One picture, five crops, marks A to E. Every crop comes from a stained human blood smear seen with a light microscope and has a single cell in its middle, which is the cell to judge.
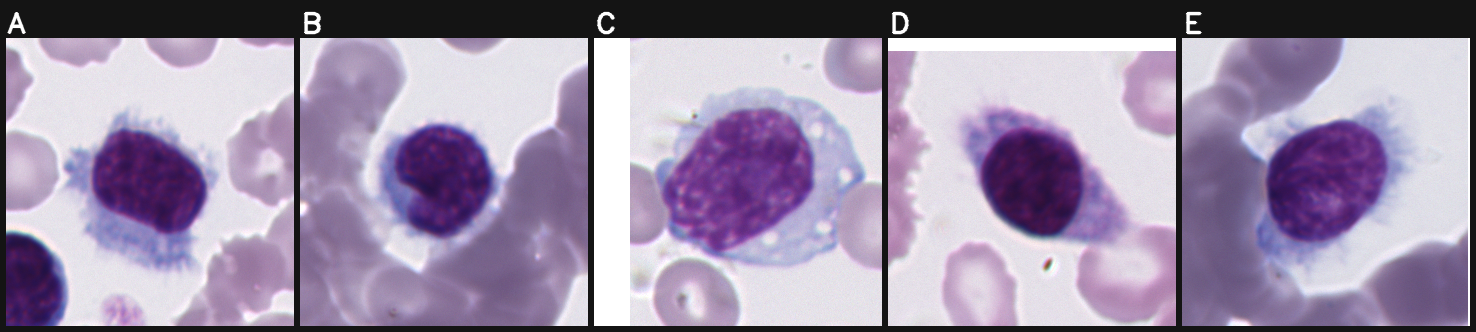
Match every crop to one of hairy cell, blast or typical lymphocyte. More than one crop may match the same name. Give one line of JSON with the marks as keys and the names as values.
{"A": "hairy cell", "B": "hairy cell", "C": "blast", "D": "hairy cell", "E": "hairy cell"}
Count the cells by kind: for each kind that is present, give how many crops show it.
hairy cell: 4
blast: 1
